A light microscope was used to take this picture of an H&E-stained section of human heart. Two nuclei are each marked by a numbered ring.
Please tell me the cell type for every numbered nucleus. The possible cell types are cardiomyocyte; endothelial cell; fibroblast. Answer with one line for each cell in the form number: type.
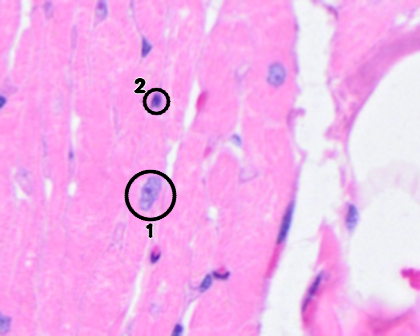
1: cardiomyocyte
2: endothelial cell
